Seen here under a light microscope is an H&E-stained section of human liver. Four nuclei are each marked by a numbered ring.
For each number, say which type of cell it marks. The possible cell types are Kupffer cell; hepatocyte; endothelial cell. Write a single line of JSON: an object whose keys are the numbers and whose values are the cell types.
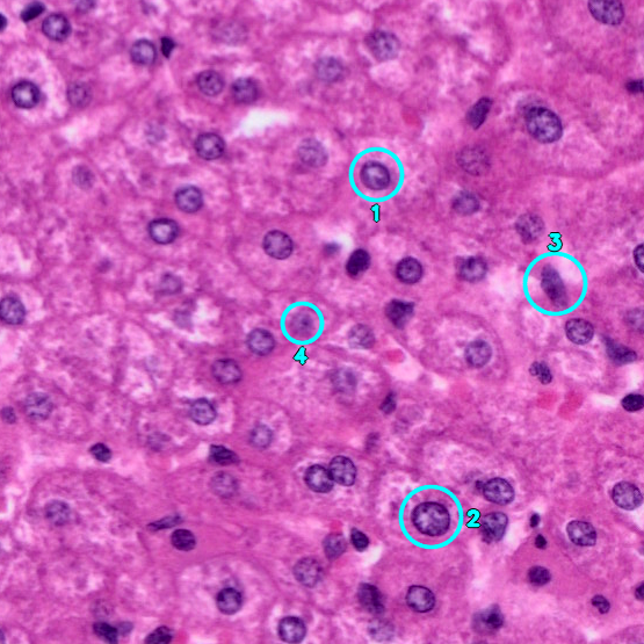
{"1": "hepatocyte", "2": "hepatocyte", "3": "Kupffer cell", "4": "hepatocyte"}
